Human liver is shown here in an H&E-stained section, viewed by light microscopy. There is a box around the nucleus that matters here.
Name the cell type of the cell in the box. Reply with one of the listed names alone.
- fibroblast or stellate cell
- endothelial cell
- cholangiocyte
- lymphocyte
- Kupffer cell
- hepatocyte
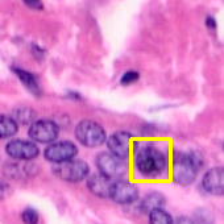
cholangiocyte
